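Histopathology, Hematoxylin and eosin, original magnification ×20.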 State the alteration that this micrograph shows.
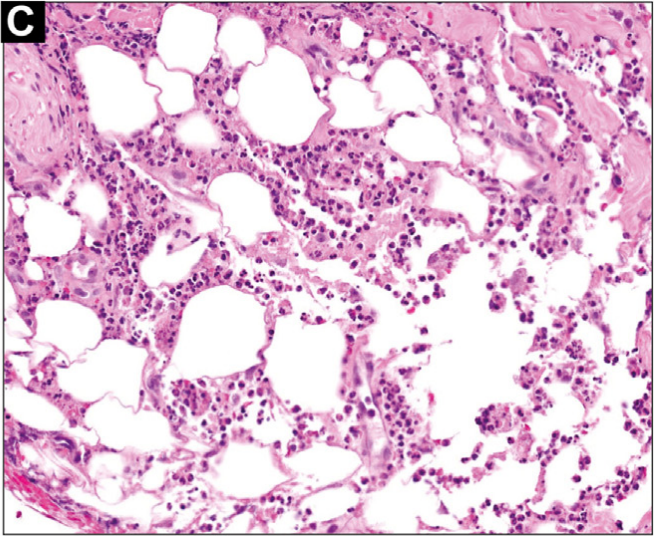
neutrophilic panniculitis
